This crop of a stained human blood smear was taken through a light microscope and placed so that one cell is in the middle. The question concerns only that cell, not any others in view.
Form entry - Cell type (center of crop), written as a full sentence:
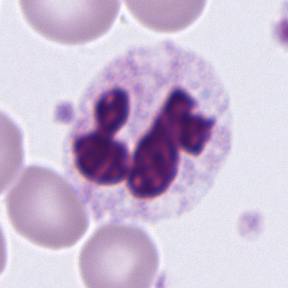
Where the crop is centred, there is a neutrophil.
